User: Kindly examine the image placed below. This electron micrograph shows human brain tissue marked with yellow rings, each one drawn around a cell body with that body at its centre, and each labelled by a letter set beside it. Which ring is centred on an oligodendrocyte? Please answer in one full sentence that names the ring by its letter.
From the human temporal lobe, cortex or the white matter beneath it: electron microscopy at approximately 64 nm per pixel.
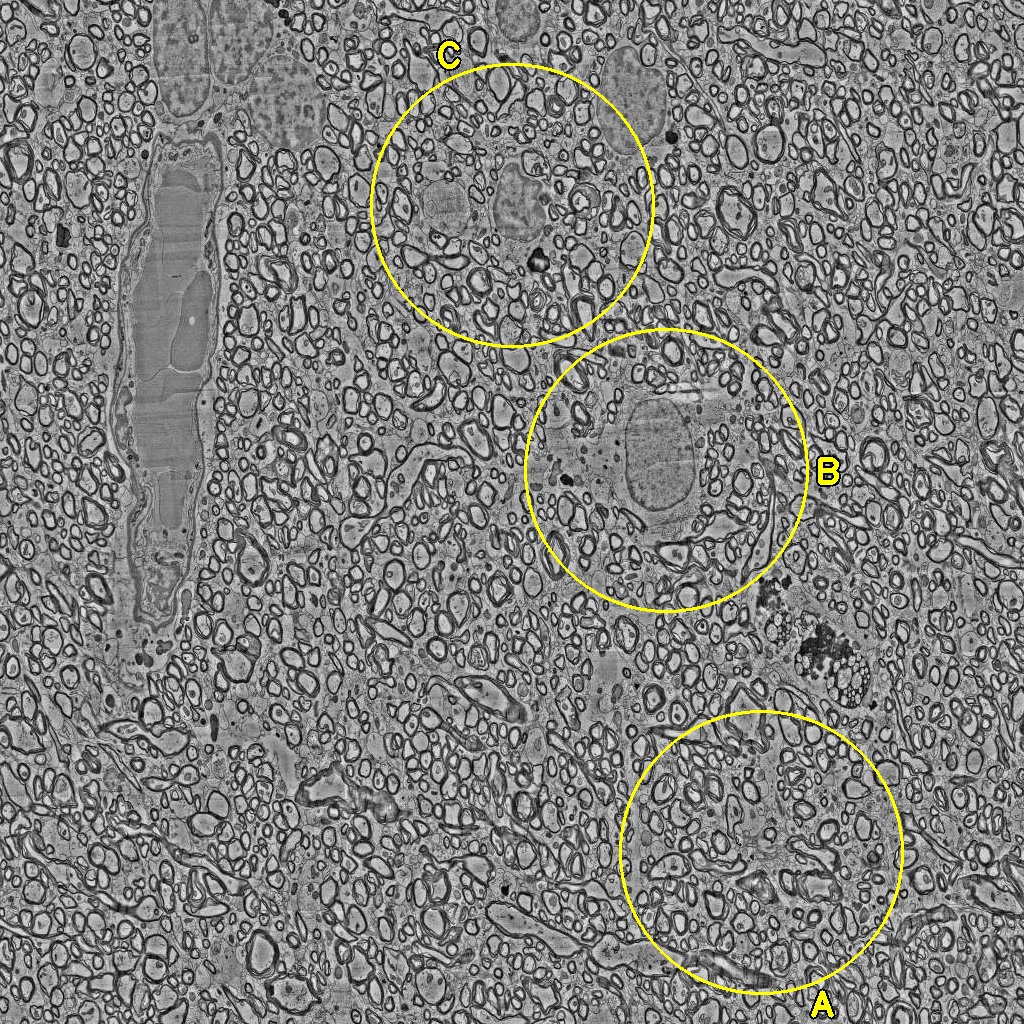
Ring C is the one drawn around the cell asked for.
